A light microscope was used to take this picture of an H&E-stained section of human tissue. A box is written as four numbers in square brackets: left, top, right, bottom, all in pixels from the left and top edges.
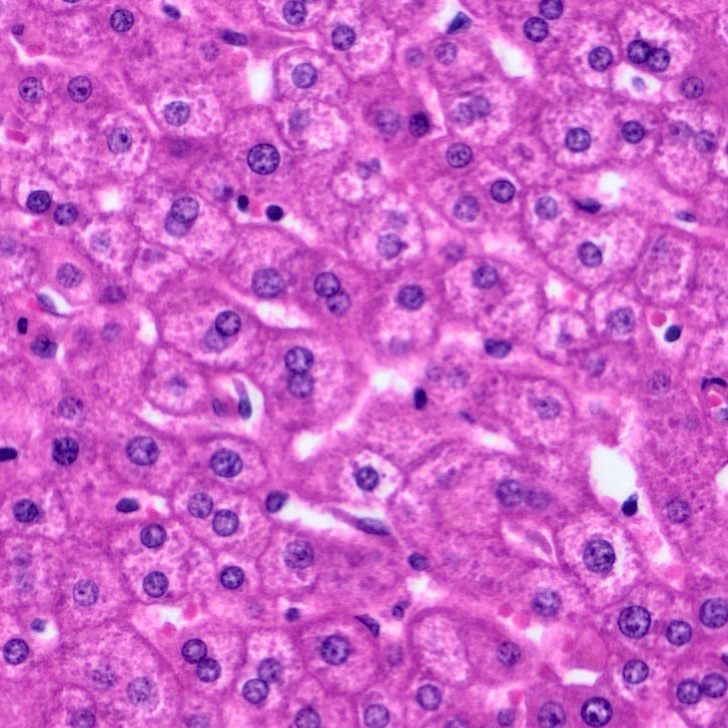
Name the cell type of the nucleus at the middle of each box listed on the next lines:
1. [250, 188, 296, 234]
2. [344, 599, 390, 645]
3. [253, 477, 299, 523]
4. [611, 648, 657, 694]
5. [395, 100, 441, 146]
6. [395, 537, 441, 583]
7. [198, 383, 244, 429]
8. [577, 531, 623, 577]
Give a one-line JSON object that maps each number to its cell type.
{"1": "lymphocyte", "2": "endothelial cell", "3": "endothelial cell", "4": "hepatocyte", "5": "Kupffer cell", "6": "fibroblast or stellate cell", "7": "Kupffer cell", "8": "hepatocyte"}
